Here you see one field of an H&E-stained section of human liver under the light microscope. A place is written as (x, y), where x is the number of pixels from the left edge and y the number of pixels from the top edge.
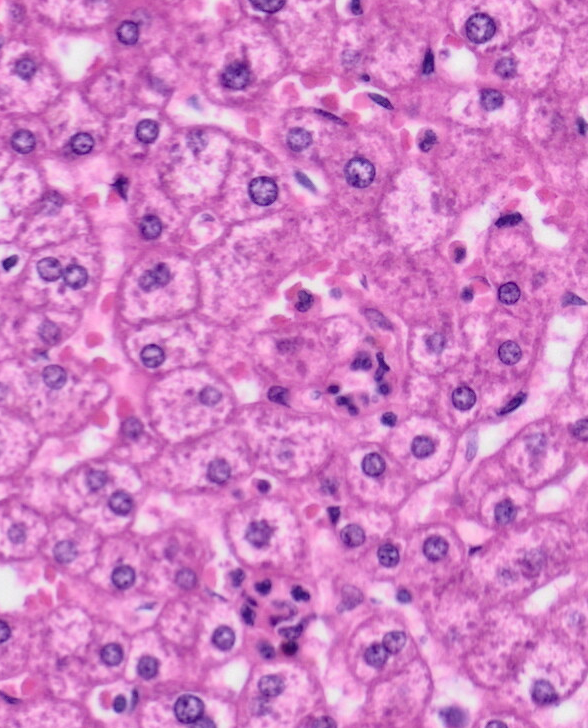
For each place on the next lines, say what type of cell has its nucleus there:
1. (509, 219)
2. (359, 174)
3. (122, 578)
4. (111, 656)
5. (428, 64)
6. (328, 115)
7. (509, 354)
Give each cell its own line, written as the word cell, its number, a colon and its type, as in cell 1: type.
cell 1: fibroblast or stellate cell
cell 2: hepatocyte
cell 3: hepatocyte
cell 4: hepatocyte
cell 5: fibroblast or stellate cell
cell 6: fibroblast or stellate cell
cell 7: hepatocyte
